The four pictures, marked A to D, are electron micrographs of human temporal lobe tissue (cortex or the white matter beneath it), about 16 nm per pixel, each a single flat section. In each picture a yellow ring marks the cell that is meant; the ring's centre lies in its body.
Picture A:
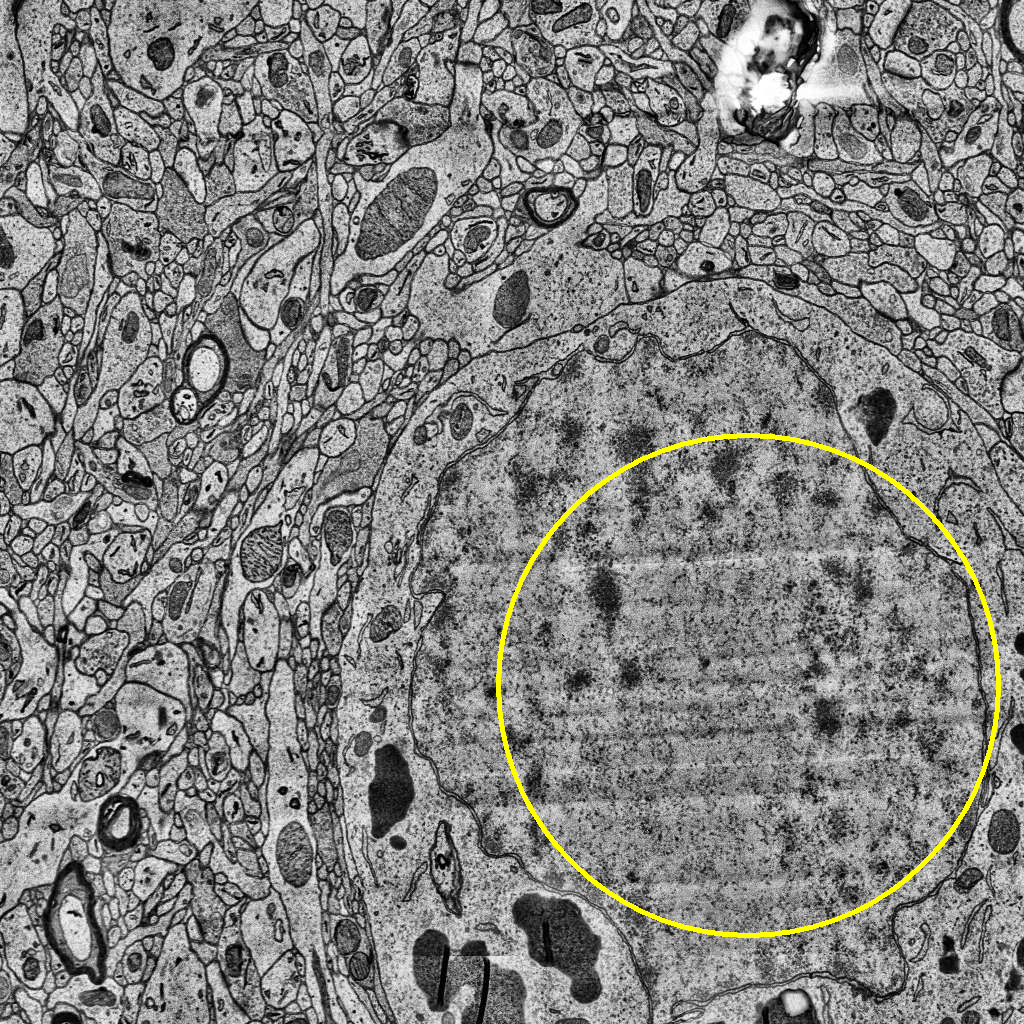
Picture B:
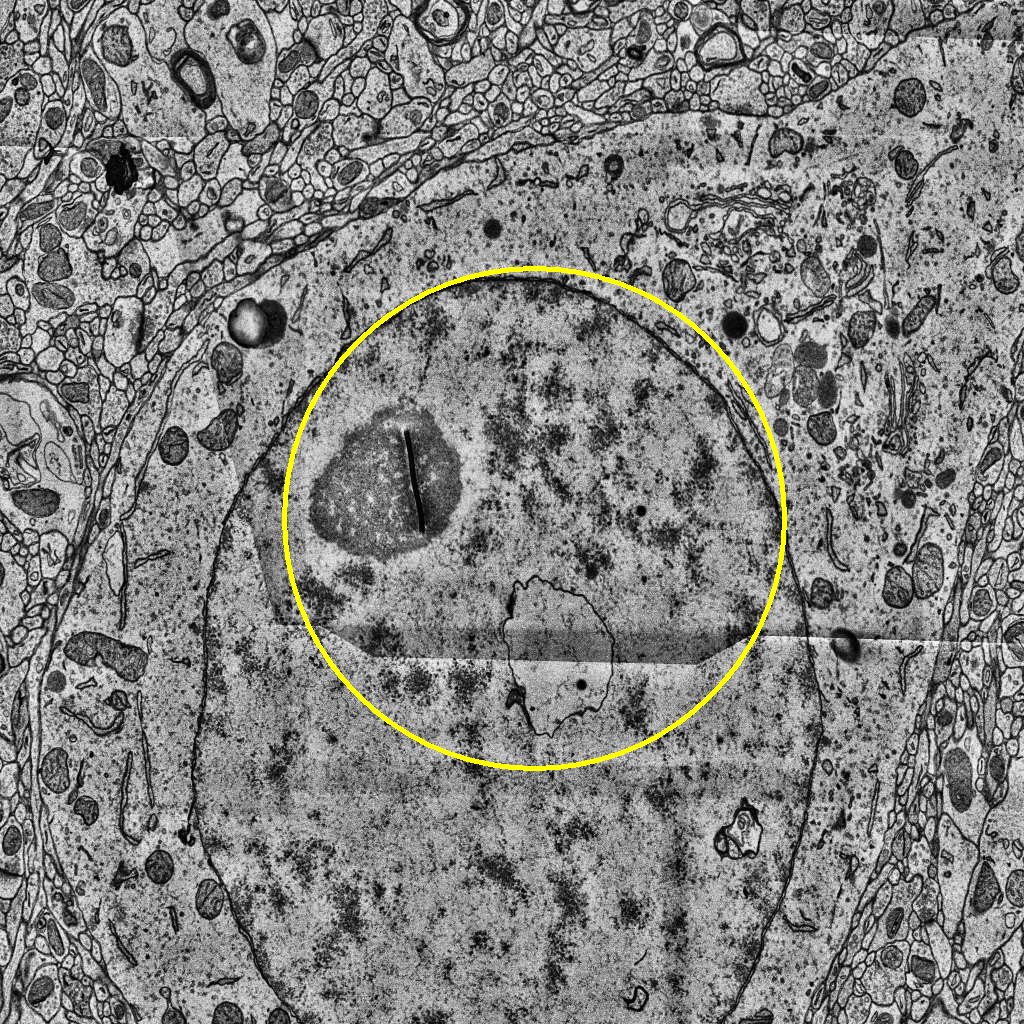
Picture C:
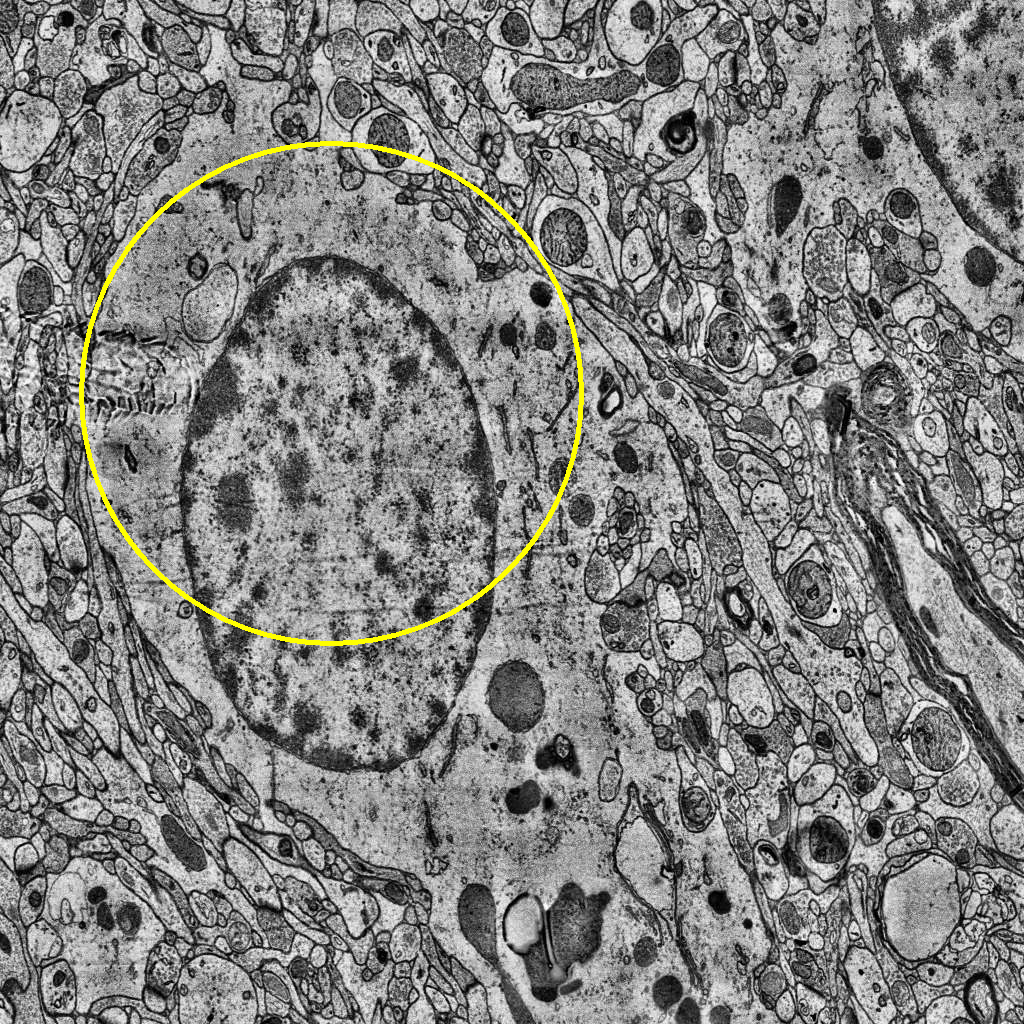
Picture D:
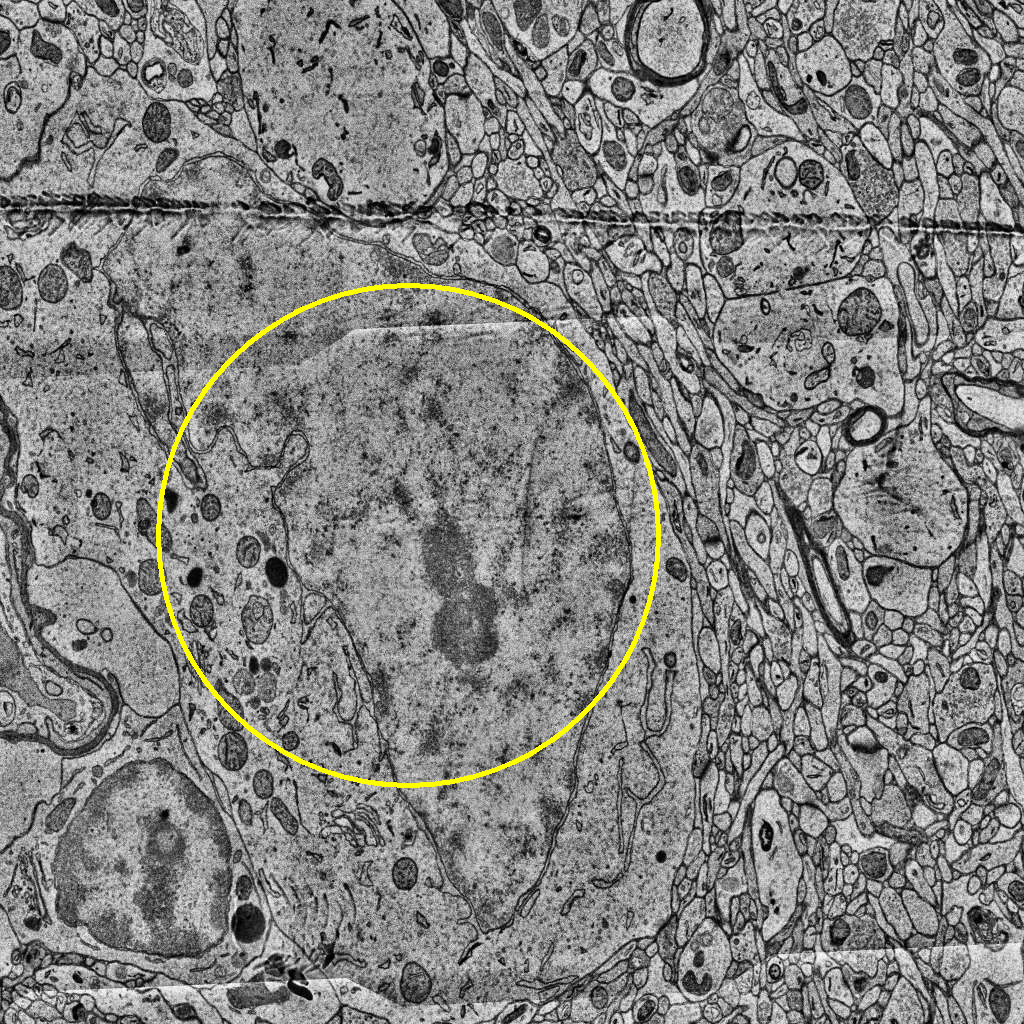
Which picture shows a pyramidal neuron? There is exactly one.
It is picture B that shows the pyramidal neuron.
